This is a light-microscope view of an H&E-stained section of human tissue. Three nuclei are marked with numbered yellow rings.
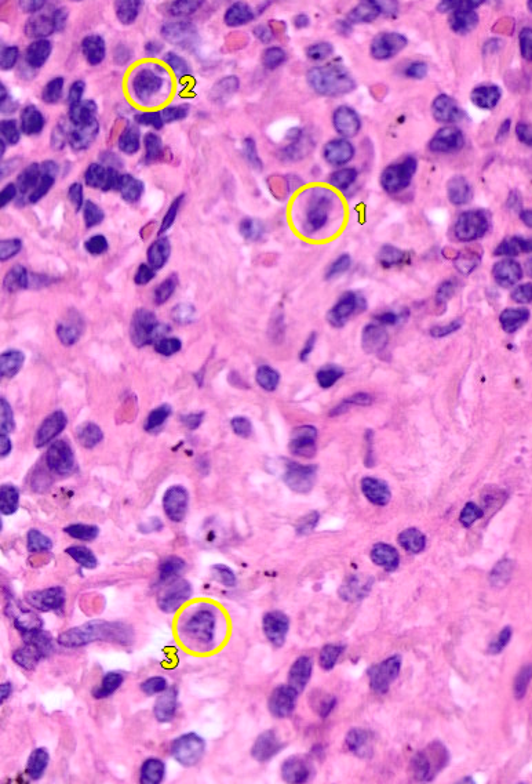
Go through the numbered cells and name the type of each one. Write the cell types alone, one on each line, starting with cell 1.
plasma cell
lymphocyte
plasma cell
